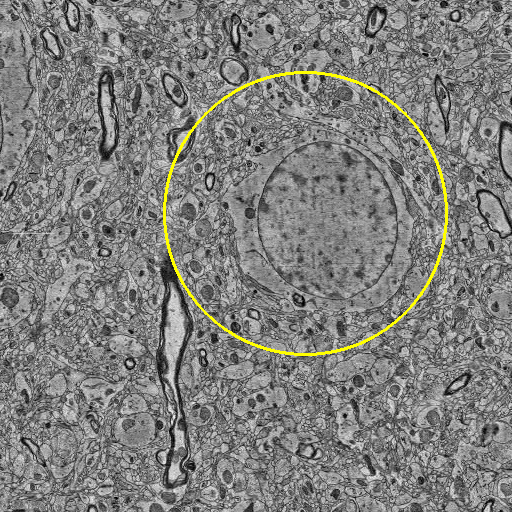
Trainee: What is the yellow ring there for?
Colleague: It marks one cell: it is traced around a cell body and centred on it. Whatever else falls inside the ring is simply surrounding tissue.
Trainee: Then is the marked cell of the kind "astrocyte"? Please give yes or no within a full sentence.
Yes, the marked cell at the centre of the yellow ring is of the kind asked about.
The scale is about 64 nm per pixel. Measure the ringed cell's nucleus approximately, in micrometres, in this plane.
Approximately 11 by 9 micrometers in this plane.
